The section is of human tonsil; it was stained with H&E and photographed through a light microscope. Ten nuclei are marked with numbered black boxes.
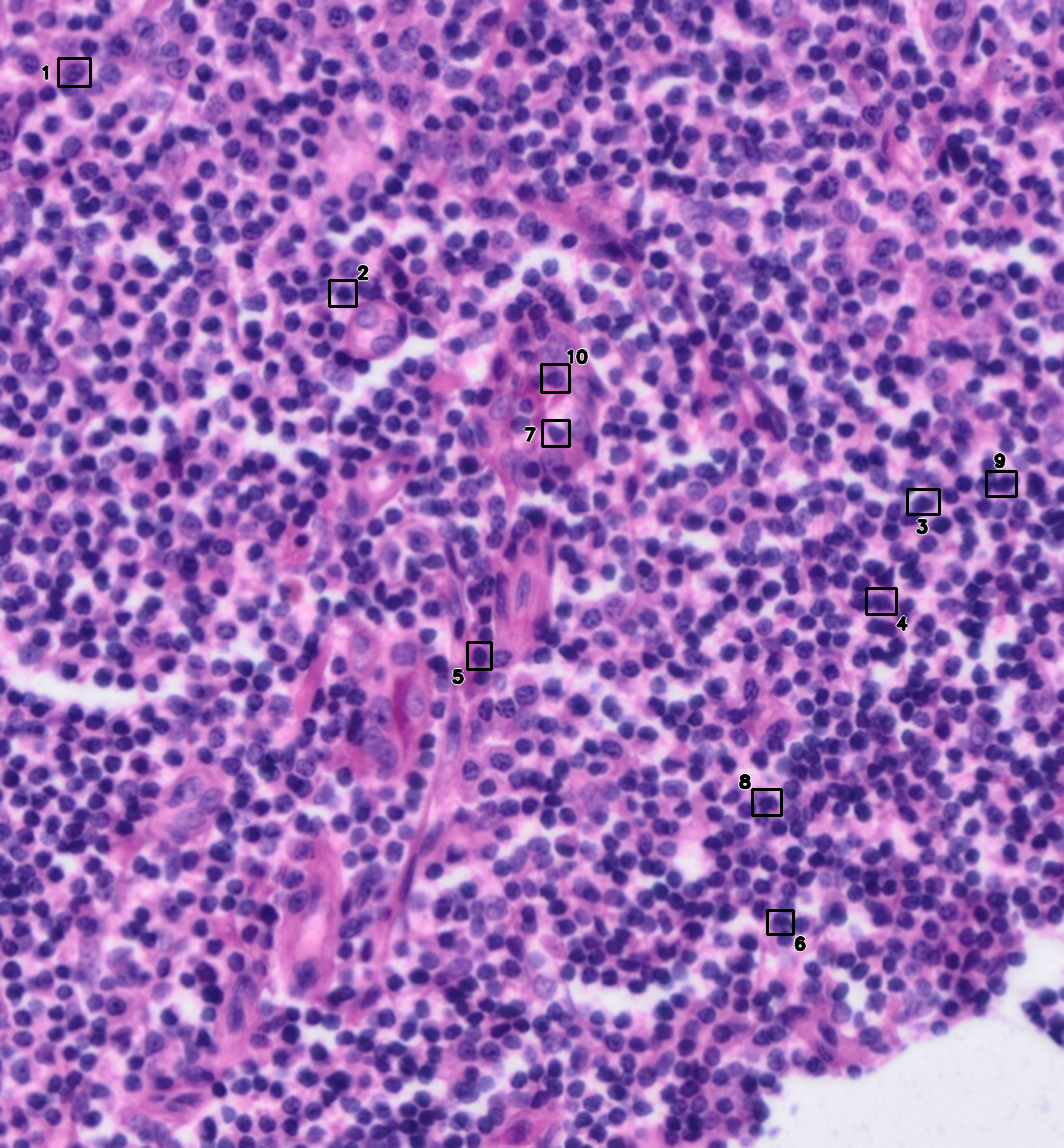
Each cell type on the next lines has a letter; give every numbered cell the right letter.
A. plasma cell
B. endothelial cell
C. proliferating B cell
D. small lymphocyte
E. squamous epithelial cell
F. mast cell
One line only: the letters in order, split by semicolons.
A; D; D; D; A; D; B; D; D; B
